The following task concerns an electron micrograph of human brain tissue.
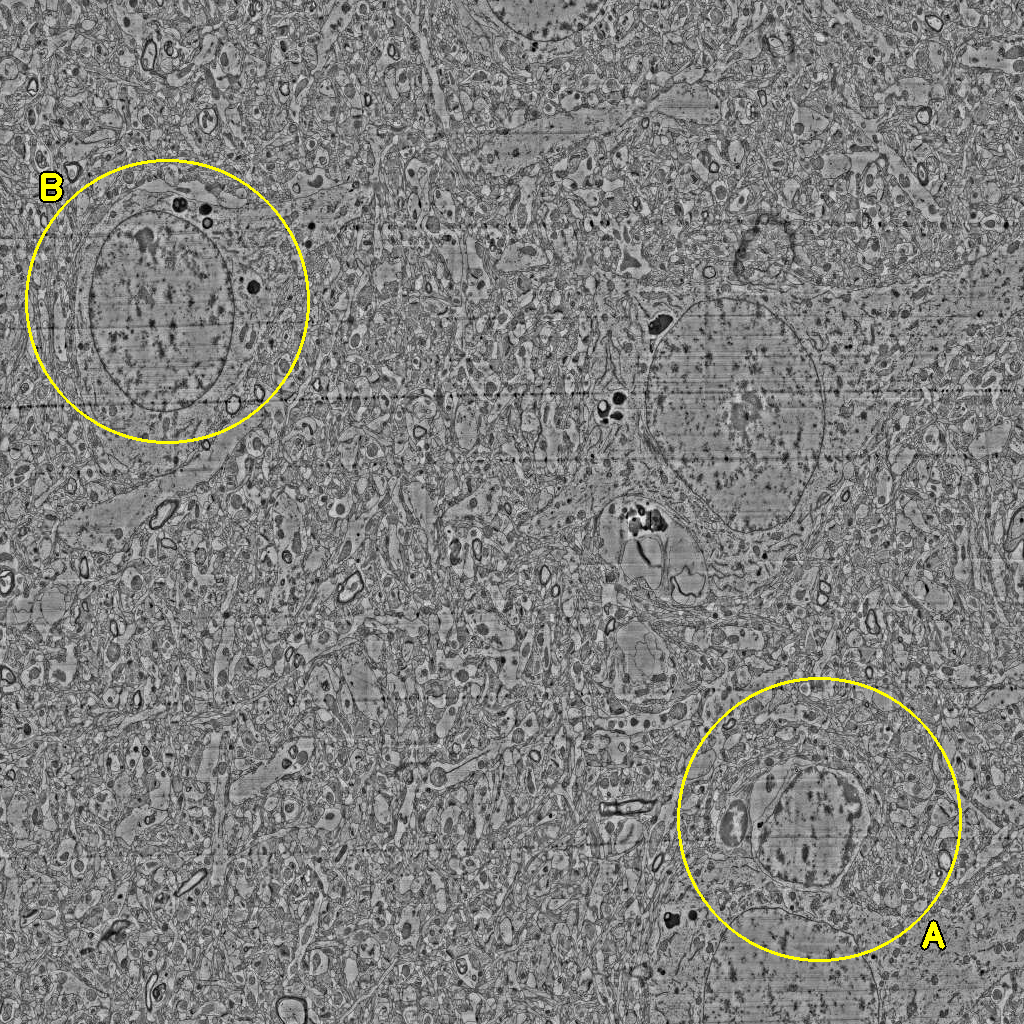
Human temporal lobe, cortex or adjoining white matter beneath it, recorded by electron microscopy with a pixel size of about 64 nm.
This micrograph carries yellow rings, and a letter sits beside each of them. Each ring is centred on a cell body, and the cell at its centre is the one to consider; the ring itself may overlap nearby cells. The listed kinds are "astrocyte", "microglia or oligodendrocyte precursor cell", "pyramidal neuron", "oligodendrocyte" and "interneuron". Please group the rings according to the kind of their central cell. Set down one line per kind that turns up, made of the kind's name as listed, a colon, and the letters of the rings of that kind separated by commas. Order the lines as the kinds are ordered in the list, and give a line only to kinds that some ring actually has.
pyramidal neuron: B
interneuron: A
